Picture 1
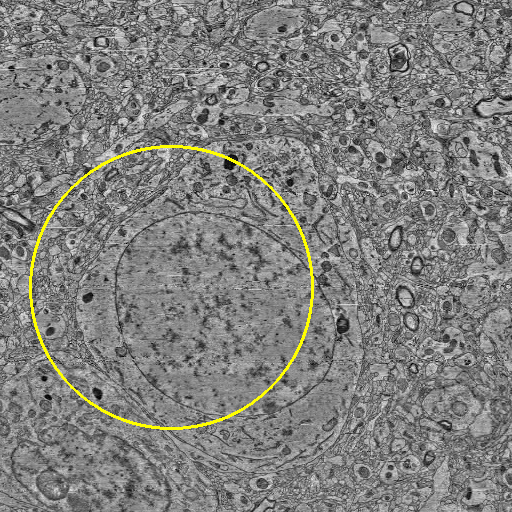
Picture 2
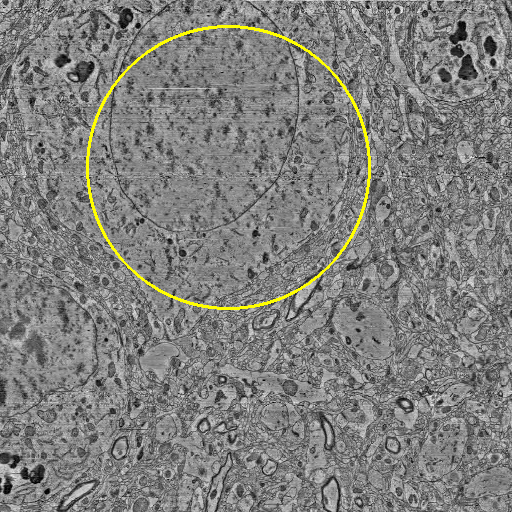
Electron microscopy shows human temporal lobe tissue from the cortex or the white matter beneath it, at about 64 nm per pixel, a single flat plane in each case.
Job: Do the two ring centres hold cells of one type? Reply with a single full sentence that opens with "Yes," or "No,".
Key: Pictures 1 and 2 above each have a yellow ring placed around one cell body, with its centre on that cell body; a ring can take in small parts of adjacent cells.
Yes, the cells at the two ring centres are of one single type.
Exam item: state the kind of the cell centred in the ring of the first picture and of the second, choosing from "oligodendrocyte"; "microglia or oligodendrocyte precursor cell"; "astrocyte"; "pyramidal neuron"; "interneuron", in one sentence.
The cell at the ring centre is a pyramidal neuron in both pictures.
